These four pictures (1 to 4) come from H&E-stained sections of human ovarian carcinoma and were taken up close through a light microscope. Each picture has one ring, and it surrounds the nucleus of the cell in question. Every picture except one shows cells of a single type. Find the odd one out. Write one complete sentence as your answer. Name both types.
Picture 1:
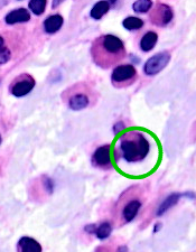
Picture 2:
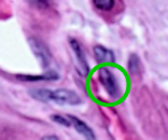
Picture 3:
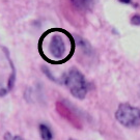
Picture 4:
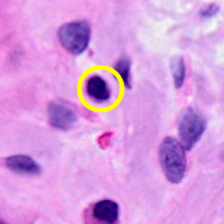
Picture 2 differs, because its cell is an endothelial cell and the rest are lymphocytes.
